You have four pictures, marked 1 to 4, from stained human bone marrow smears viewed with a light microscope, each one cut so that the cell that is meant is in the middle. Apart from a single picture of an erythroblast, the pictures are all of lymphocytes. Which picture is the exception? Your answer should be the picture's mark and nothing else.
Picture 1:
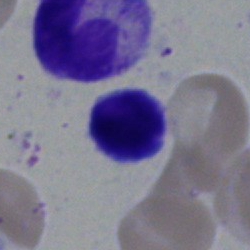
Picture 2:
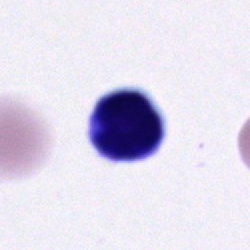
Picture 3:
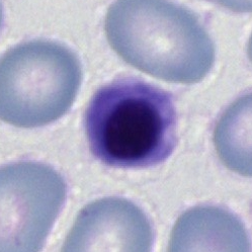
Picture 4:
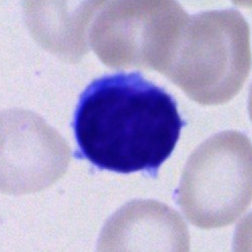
3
